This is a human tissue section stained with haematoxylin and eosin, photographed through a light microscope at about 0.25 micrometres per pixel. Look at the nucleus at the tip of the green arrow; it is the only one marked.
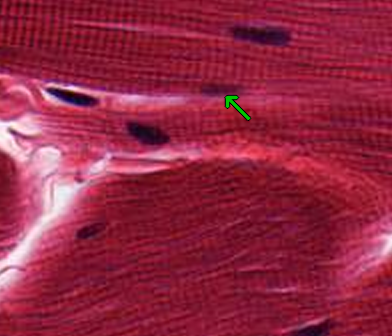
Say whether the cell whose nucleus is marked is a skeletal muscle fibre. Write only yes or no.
yes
